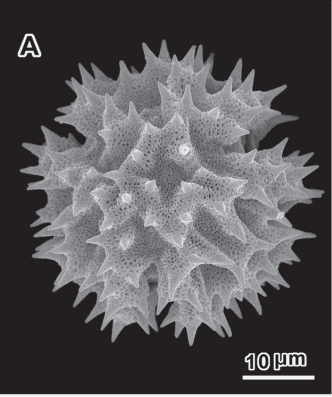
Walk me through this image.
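A single roughly spherical pollen grain is seen, its whole outer wall studded with many long, sharply pointed spines. The spines rise from low crests that link some of them into short, incomplete ridges, leaving shallow depressions between. The surface of the wall between and on the crests is finely pitted with small perforations. A few small rounded knobs sit on the wall near the centre of the view. This spiny surface with only partly developed ridges is the sublophate-echinolophate pattern of the grain.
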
